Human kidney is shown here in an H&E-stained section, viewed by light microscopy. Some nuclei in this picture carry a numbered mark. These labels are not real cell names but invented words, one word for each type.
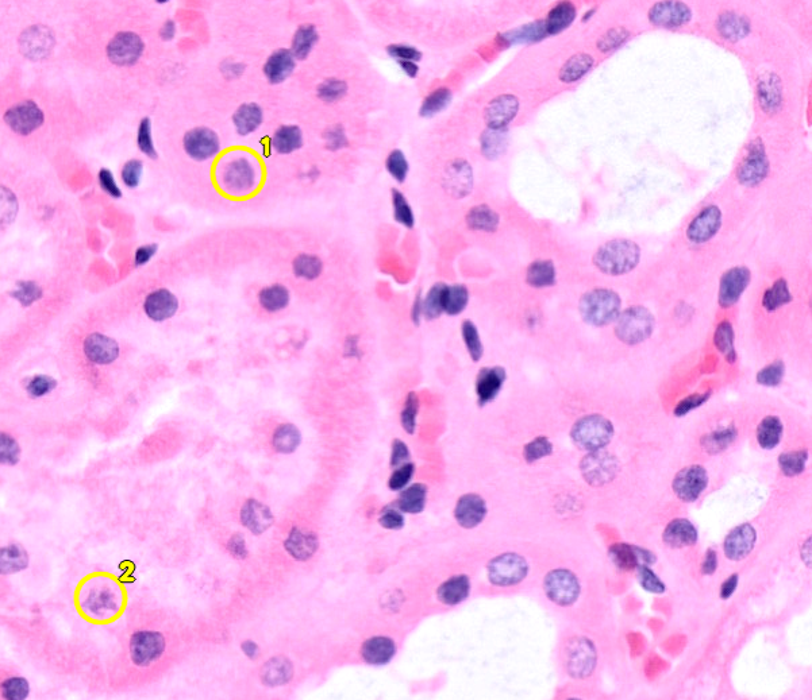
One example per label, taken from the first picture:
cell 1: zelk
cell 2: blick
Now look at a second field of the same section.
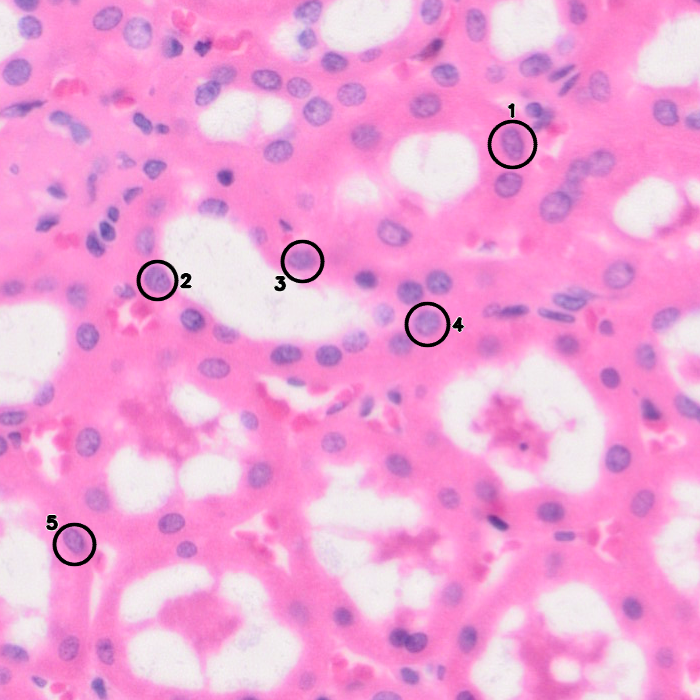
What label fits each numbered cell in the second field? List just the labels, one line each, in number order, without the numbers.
blick
zelk
zelk
zelk
blick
